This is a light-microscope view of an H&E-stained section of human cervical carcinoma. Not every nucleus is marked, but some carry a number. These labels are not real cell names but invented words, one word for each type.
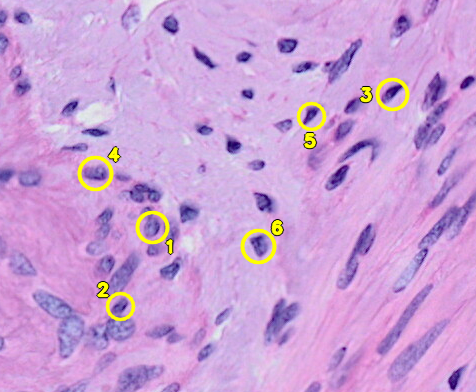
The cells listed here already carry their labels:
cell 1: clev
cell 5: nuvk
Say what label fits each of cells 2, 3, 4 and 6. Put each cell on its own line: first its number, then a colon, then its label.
2: clev
3: nuvk
4: clev
6: nuvk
